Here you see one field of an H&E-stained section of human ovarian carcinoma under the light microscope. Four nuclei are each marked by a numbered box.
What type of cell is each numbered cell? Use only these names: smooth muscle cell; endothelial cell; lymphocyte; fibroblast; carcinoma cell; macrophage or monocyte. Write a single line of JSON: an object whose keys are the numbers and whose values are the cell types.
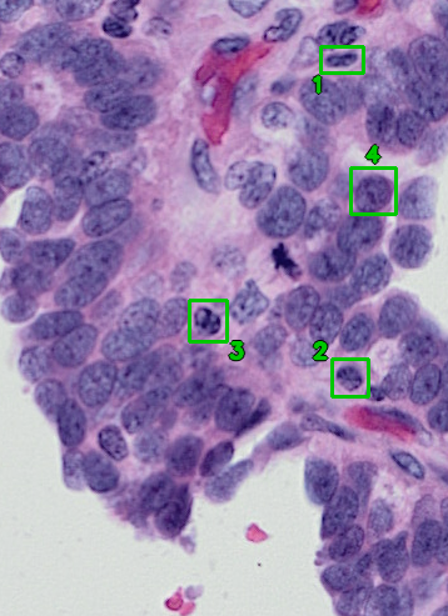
{"1": "lymphocyte", "2": "lymphocyte", "3": "lymphocyte", "4": "carcinoma cell"}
